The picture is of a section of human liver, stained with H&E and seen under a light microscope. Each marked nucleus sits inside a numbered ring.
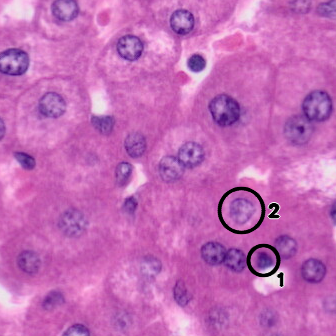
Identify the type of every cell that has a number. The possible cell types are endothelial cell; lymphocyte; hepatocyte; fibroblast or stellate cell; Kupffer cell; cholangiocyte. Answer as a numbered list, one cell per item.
1. fibroblast or stellate cell
2. hepatocyte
